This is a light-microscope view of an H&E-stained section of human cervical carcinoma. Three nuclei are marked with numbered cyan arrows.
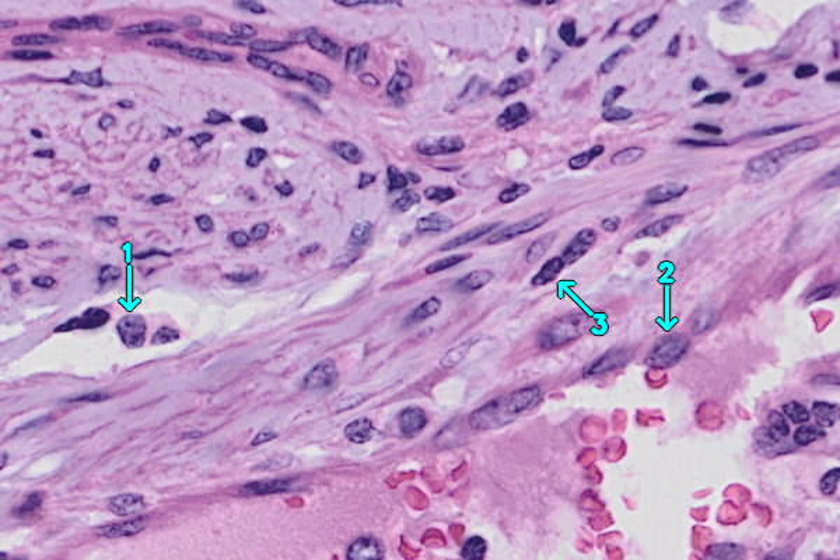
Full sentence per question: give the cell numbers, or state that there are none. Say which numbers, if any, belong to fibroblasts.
Not one numbered cell here is one of the fibroblasts.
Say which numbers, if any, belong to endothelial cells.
Cell 2 is an endothelial cell; no further numbered cell is.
